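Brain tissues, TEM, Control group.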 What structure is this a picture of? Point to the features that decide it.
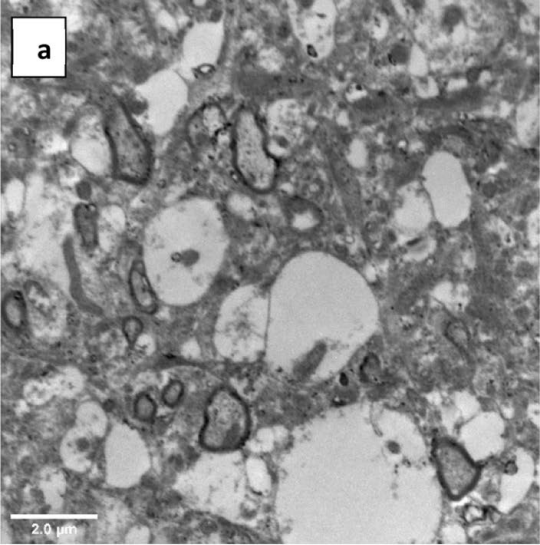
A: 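Many round to oval profiles are ringed by a dark, dense sheath. The sheath encloses a paler interior with fine texture. The answer: myelinated axons.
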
